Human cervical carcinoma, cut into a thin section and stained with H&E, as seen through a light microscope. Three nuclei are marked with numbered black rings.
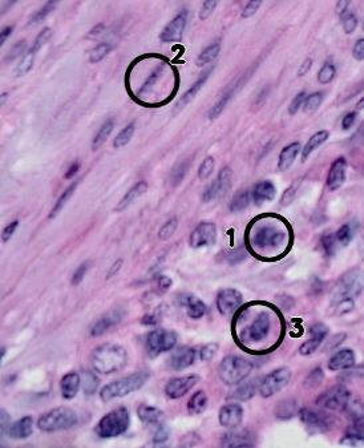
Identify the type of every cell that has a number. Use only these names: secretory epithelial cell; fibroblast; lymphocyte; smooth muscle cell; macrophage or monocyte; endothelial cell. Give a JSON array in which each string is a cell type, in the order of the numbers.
["lymphocyte", "smooth muscle cell", "lymphocyte"]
